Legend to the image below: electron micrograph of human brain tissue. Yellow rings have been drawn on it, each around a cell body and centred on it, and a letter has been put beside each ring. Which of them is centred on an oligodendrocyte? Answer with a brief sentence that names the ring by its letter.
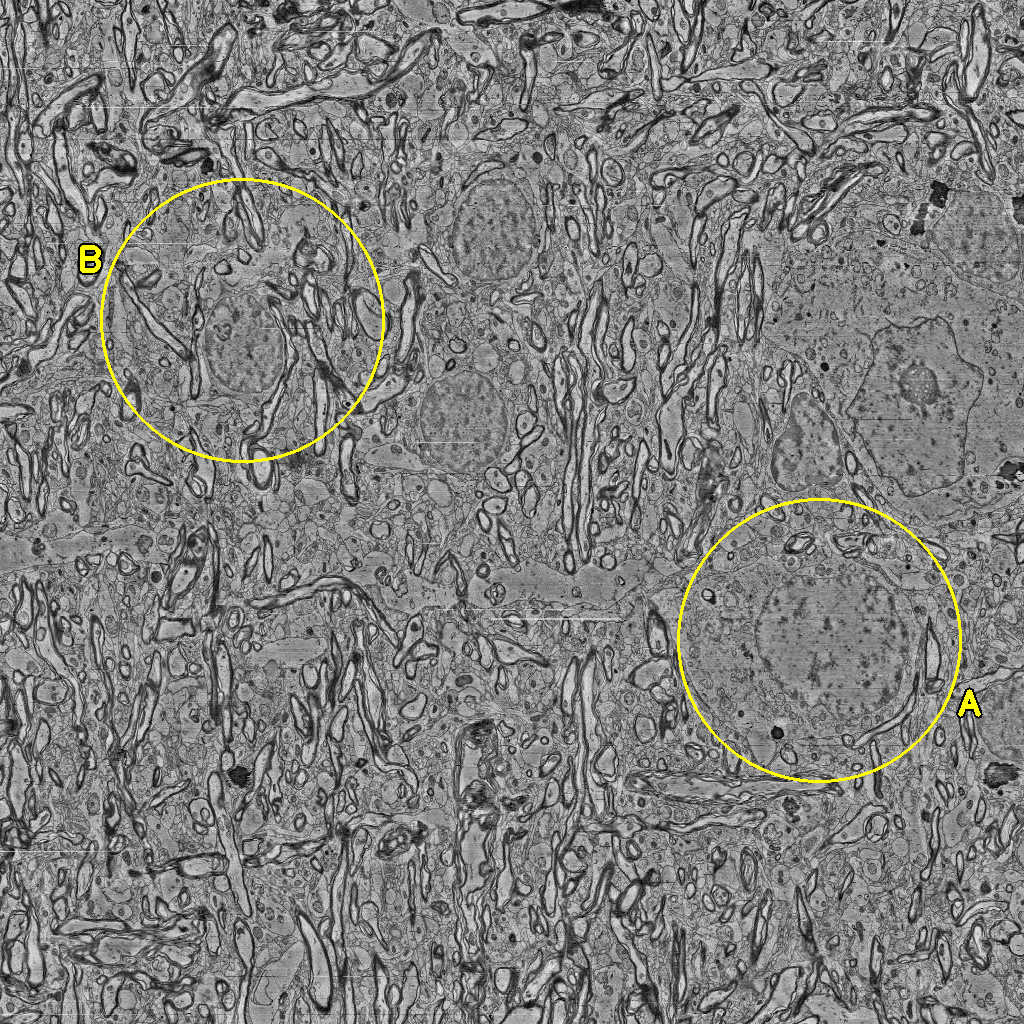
It is the ring lettered B.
